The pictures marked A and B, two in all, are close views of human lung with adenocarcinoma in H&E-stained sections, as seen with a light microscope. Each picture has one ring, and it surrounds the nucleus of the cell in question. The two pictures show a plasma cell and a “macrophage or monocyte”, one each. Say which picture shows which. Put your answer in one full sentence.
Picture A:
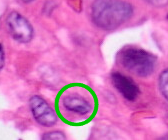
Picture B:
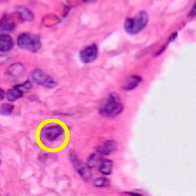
In picture A the cell is a “macrophage or monocyte”; in picture B, a plasma cell.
